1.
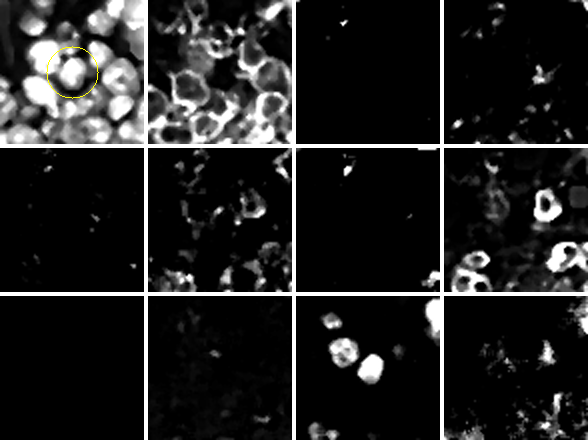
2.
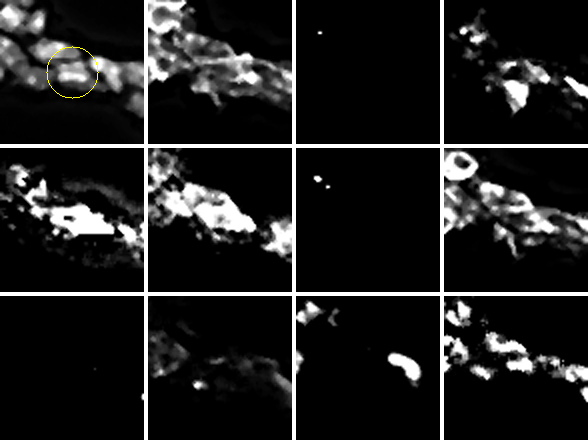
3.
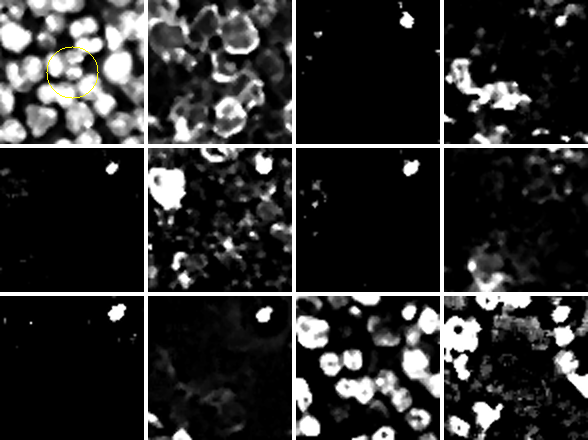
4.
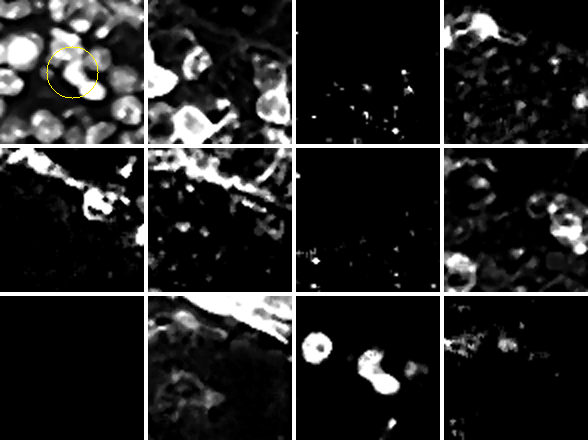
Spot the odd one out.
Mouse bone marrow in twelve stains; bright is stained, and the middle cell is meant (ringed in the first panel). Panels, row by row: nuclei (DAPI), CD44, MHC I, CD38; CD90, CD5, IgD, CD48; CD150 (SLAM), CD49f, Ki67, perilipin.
Picture 2 (a T cell among erythroblasts).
